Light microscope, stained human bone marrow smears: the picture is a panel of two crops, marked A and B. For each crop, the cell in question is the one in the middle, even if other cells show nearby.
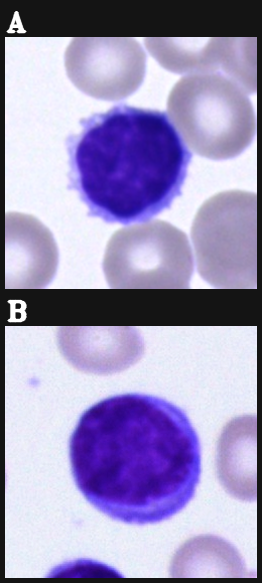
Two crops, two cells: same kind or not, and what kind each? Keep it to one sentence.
Yes, both crops show lymphocytes, one in each.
